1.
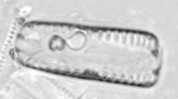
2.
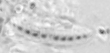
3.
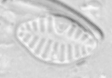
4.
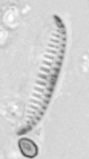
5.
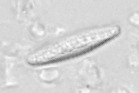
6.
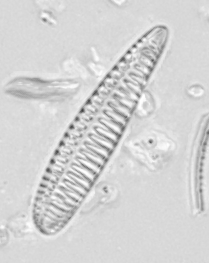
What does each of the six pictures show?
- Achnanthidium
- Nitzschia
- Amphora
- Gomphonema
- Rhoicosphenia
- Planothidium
1. Gomphonema
2. Nitzschia
3. Planothidium
4. Amphora
5. Nitzschia
6. Rhoicosphenia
